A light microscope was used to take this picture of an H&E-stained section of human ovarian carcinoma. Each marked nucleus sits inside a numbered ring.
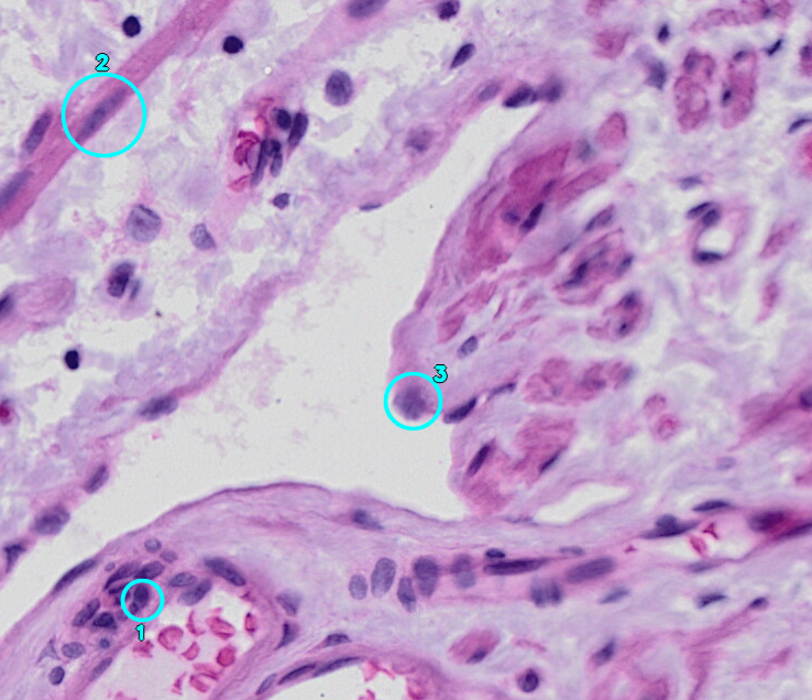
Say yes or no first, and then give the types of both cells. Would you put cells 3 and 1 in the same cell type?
Yes, regarding cells 3 and 1, both are endothelial cells.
